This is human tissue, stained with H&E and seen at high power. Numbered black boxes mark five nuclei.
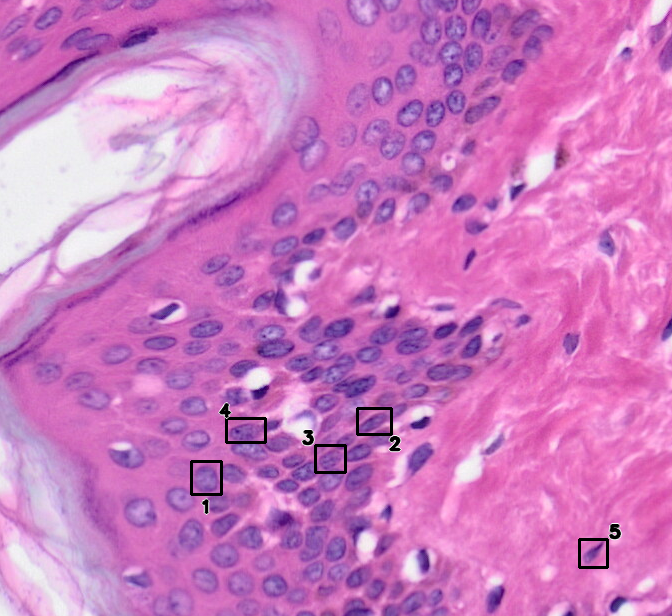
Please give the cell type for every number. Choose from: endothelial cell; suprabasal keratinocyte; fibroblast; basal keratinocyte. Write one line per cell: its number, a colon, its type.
1: suprabasal keratinocyte
2: basal keratinocyte
3: basal keratinocyte
4: basal keratinocyte
5: fibroblast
